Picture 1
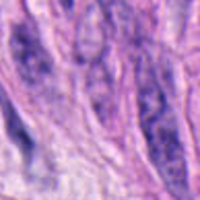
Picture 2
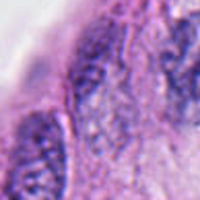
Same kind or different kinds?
Different: the first is a vascular myocyte, the second a cytotrophoblast.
